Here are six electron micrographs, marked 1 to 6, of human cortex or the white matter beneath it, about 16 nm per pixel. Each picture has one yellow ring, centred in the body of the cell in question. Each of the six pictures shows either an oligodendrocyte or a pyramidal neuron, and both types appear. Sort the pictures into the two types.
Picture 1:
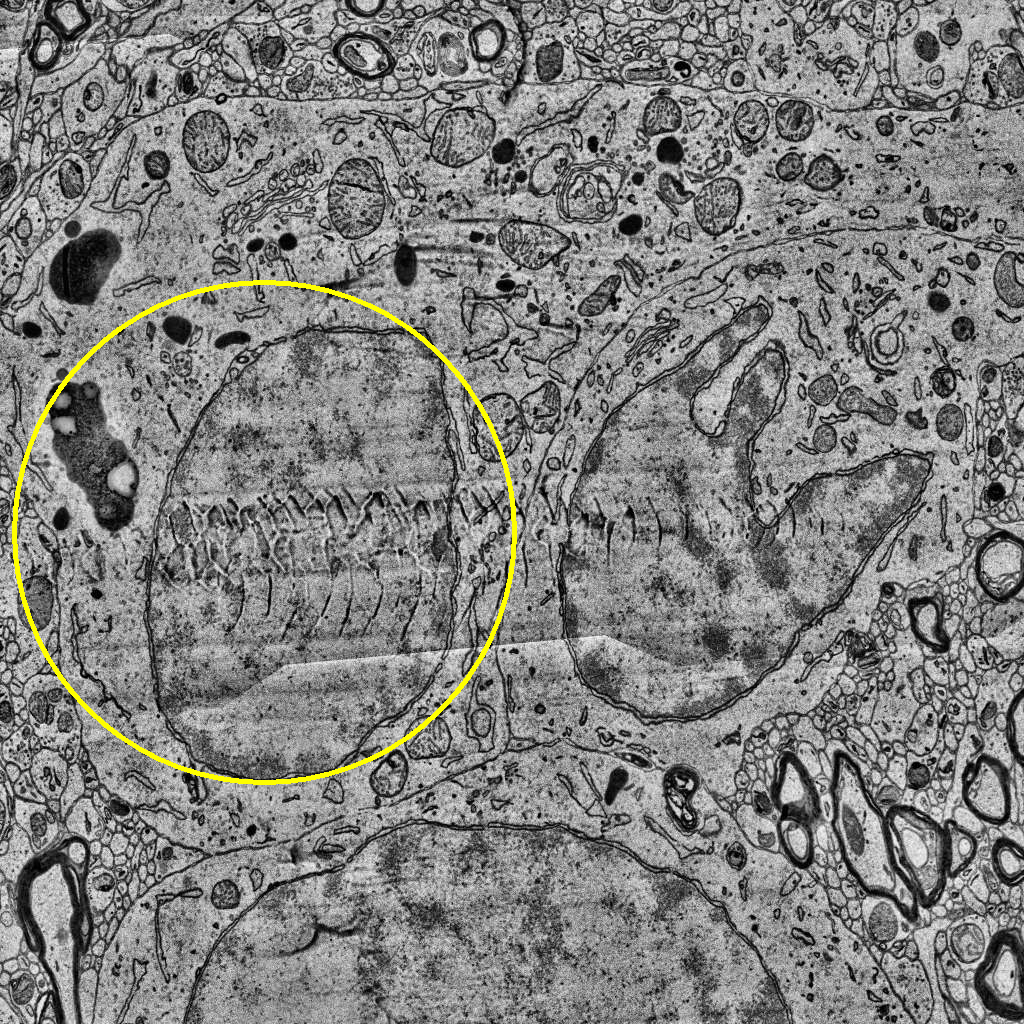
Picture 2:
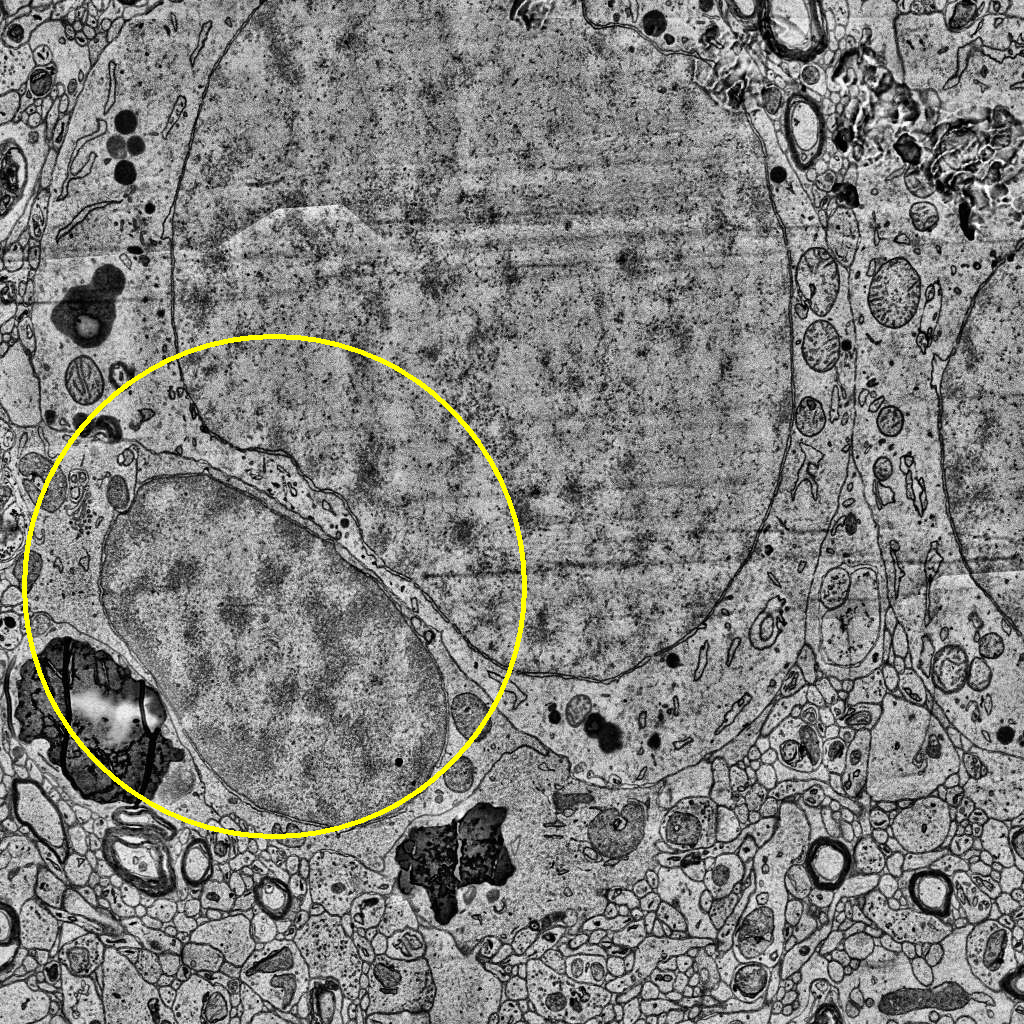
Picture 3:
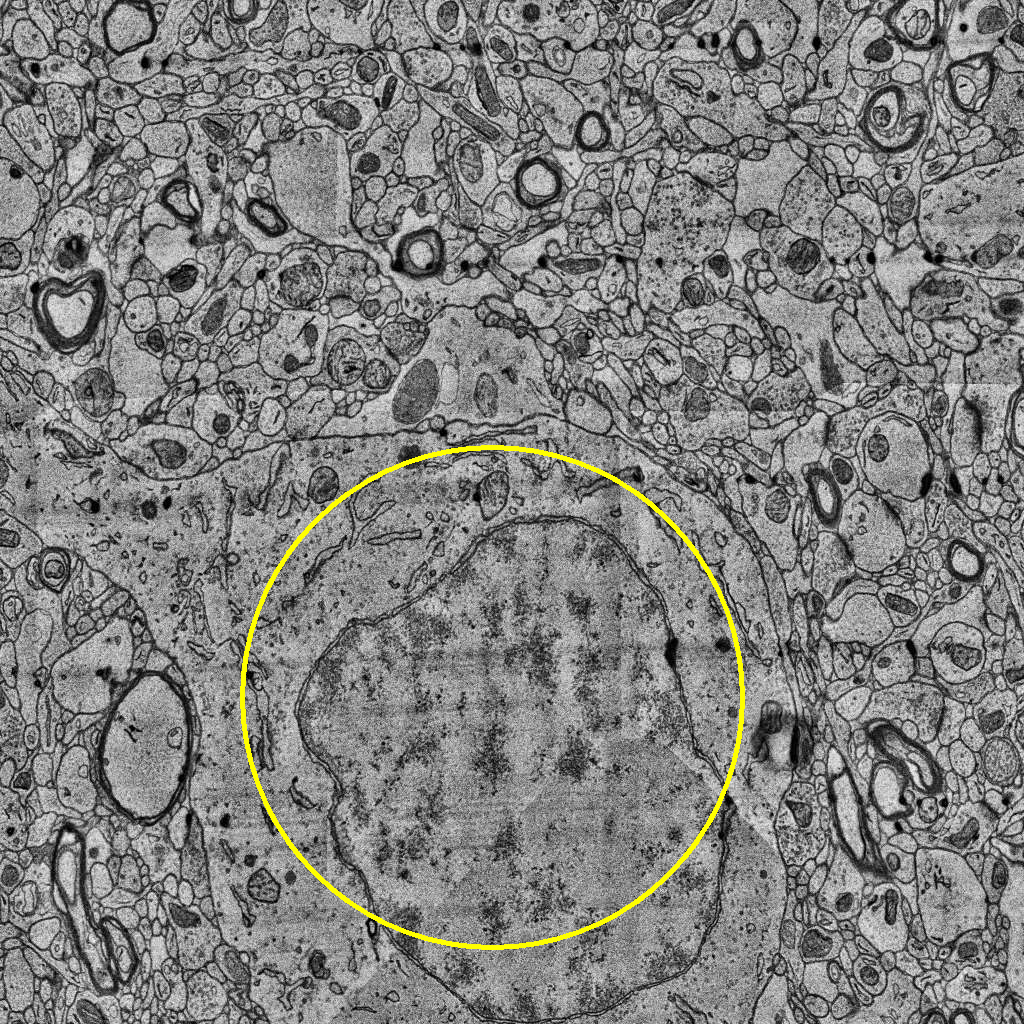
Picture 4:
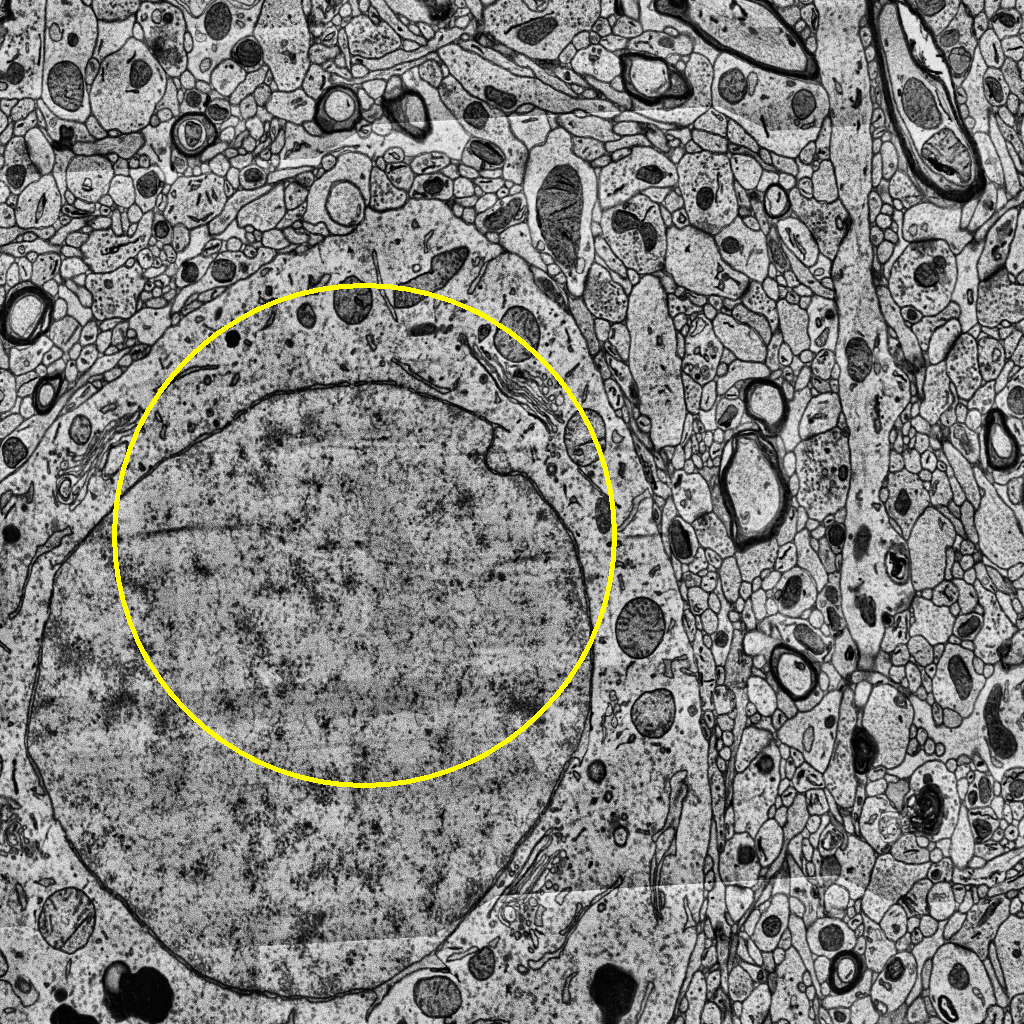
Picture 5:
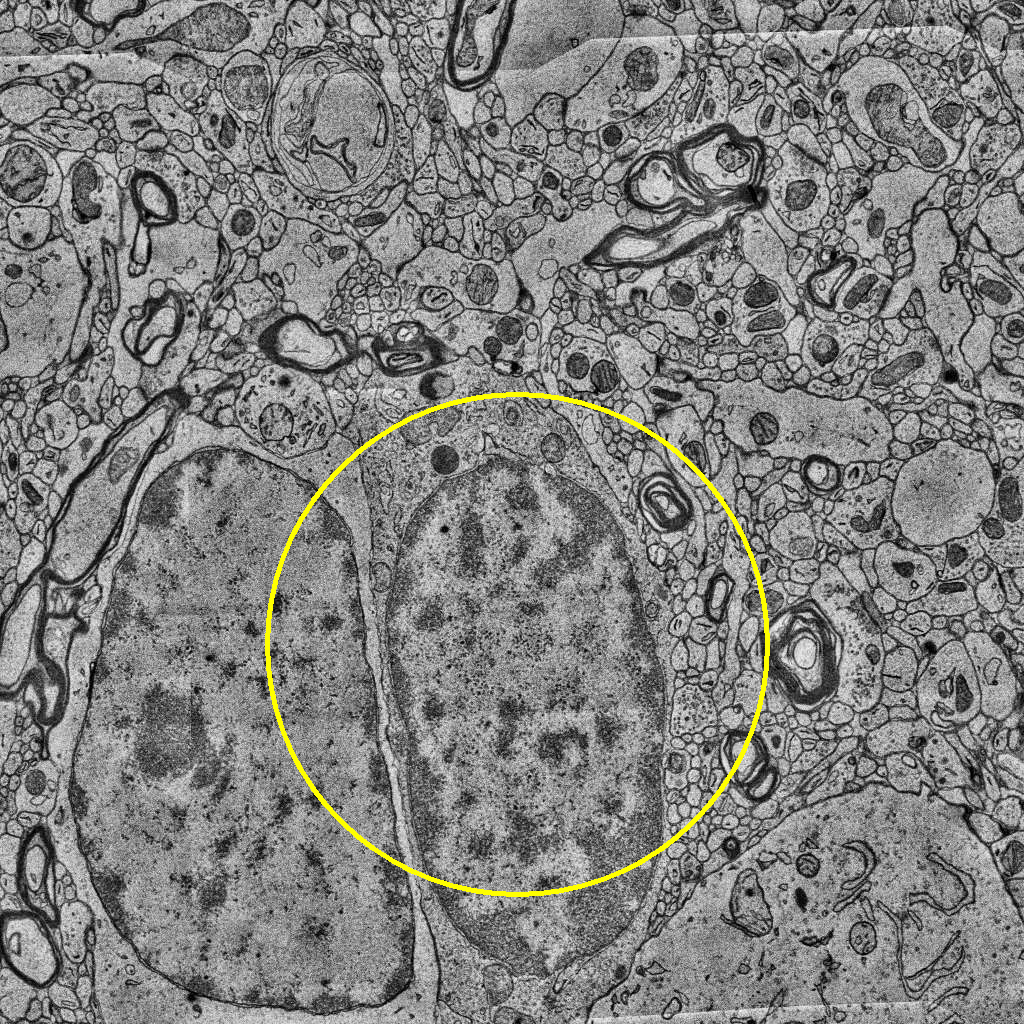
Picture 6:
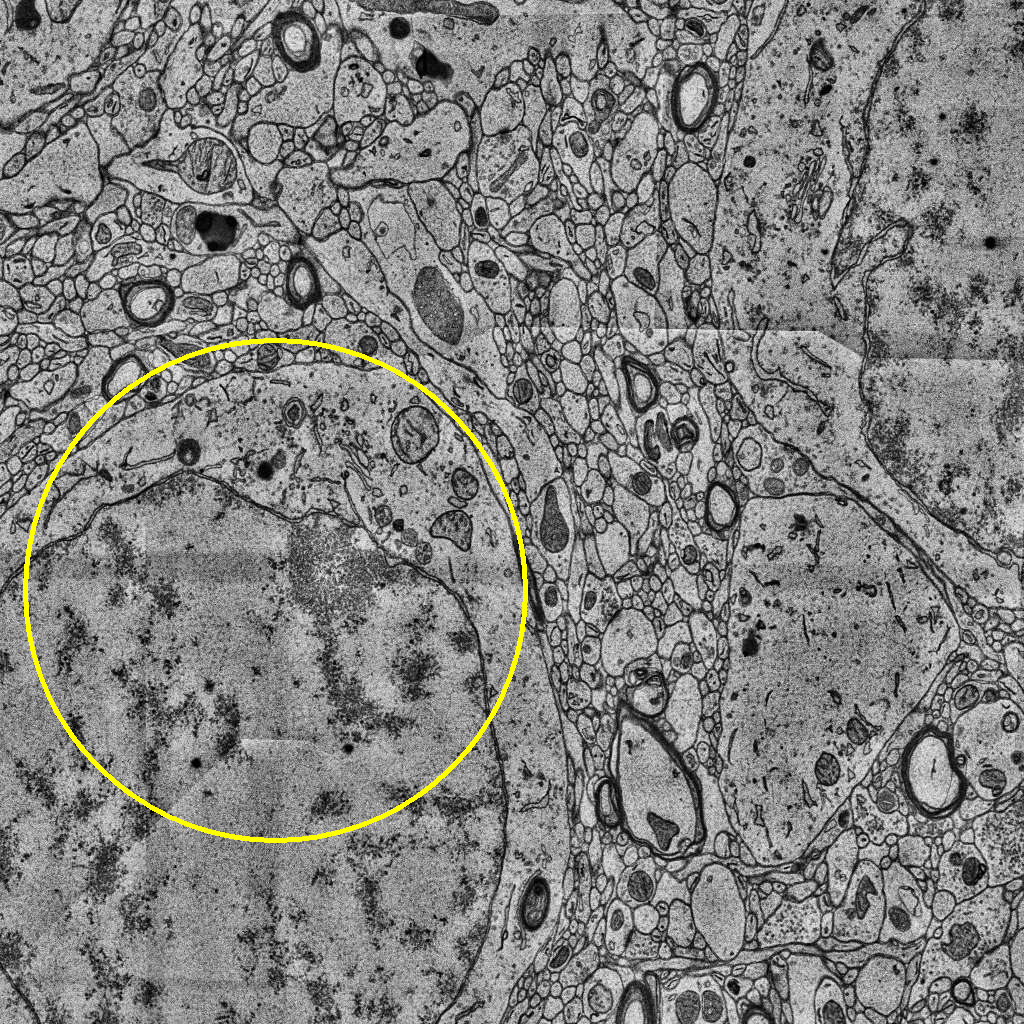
Pictures 2 and 5 show oligodendrocytes, while pictures 1, 3, 4 and 6 show pyramidal neurons.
